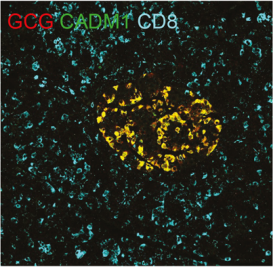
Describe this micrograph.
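This is a section of pancreas with an islet at its centre. The islet is a compact, rounded cluster of cells in which red and green labelling overlap, so that the cells appear yellow. A few of them lie close to the edge of the islet.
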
